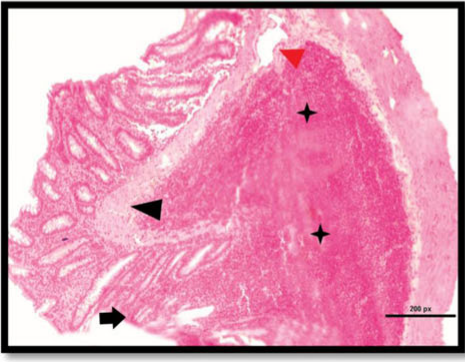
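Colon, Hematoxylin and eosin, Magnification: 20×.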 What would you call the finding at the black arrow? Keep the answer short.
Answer: Damage/necrosis.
